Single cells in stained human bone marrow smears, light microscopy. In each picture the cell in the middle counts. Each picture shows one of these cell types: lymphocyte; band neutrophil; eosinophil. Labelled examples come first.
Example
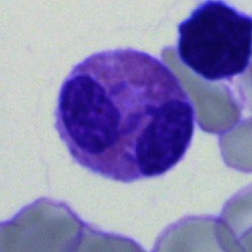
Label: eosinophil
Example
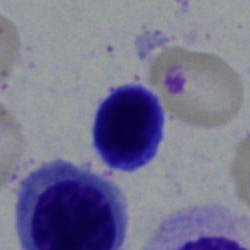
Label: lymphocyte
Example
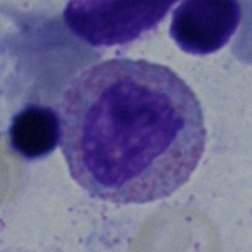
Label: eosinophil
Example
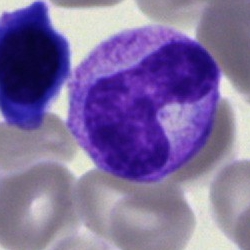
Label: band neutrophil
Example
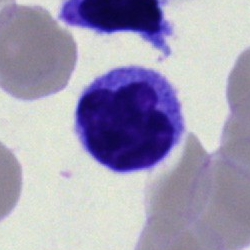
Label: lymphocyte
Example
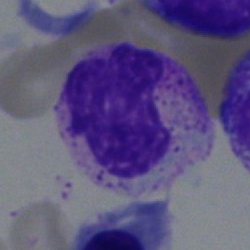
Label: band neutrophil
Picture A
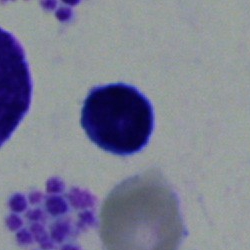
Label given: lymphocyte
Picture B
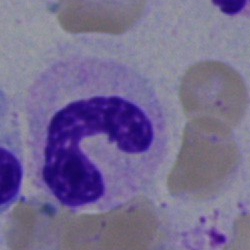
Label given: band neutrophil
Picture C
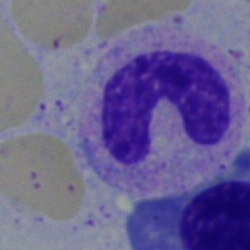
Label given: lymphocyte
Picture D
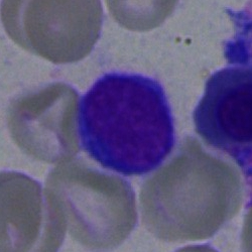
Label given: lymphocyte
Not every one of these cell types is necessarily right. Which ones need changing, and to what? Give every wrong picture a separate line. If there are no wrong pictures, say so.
C should be band neutrophil, not lymphocyte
